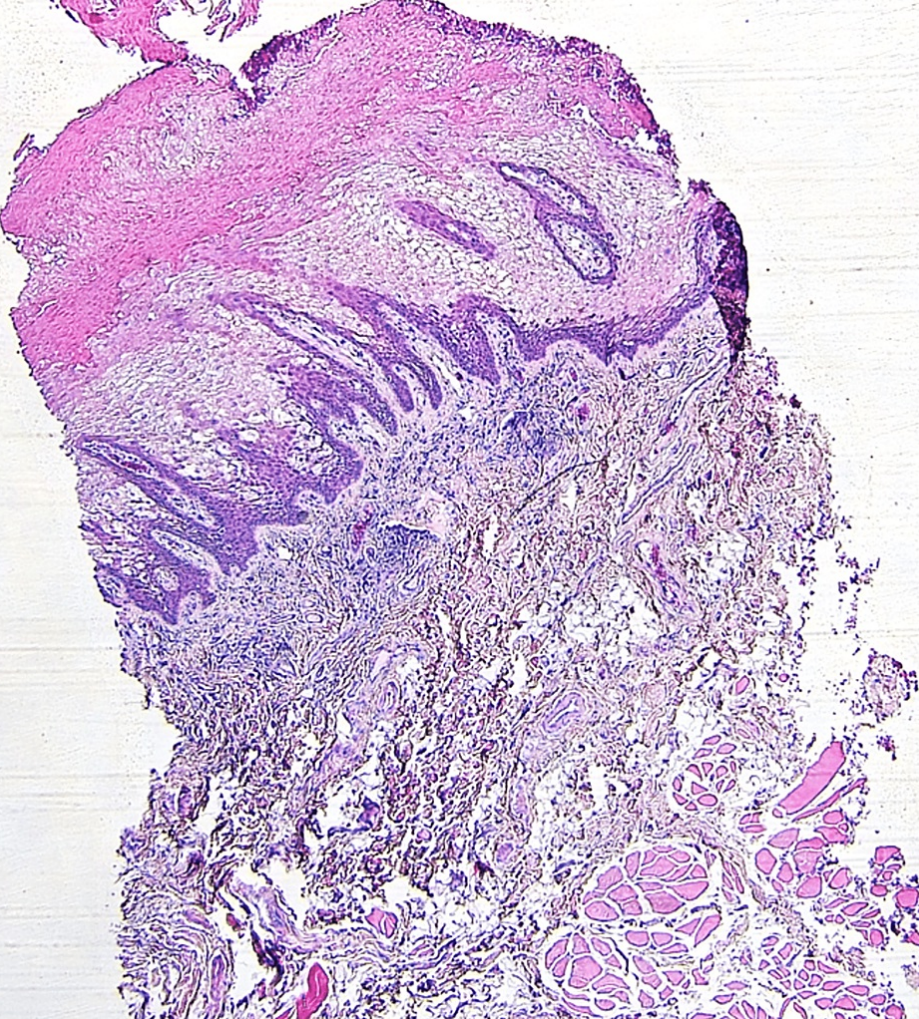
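A low-power section of stratified squamous epithelium over connective tissue, with a thickened, pale epithelium under a heavy surface keratin layer. Only the basal cells along the rete ridges remain darker purple. The underlying connective tissue is loose and contains scattered vessels. Bundles of pink fibres cut in cross section lie in the deep tissue at the lower right.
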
